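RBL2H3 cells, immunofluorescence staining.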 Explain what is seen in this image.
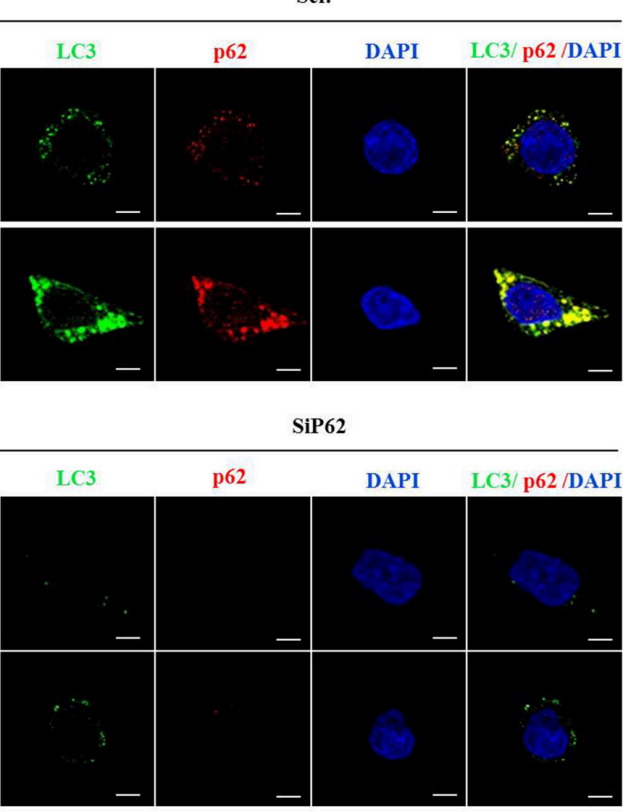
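Single cultured cells, each with one large, round to oval nucleus stained blue, are surrounded by cytoplasm that holds small green and red dots. In the upper block the dots are numerous and crowd around the nucleus; in one row the cell is larger and angular and packed with bright dots, and in the merged images the green and red dots overlap as yellow. In the lower block only a few faint green dots and almost no red dots are seen around the blue nuclei.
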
